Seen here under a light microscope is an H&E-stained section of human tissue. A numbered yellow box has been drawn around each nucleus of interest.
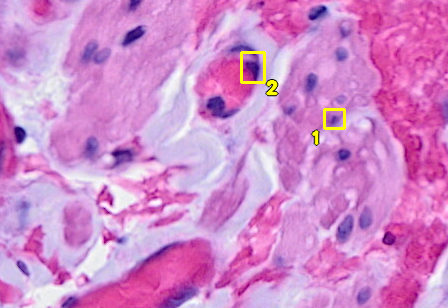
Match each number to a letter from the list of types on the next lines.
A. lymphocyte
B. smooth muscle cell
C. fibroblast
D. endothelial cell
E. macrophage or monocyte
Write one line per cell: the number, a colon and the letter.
1: B
2: D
